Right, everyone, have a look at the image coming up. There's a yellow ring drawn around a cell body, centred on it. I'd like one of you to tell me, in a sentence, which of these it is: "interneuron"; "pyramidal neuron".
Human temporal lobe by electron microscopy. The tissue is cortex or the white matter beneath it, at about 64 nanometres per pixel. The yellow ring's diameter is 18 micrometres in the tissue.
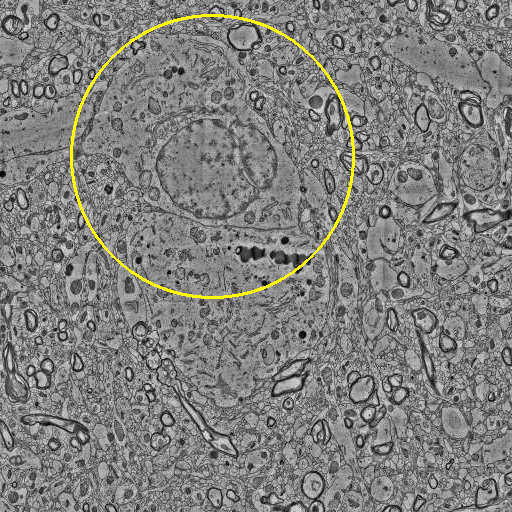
The yellow ring sits on an interneuron.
